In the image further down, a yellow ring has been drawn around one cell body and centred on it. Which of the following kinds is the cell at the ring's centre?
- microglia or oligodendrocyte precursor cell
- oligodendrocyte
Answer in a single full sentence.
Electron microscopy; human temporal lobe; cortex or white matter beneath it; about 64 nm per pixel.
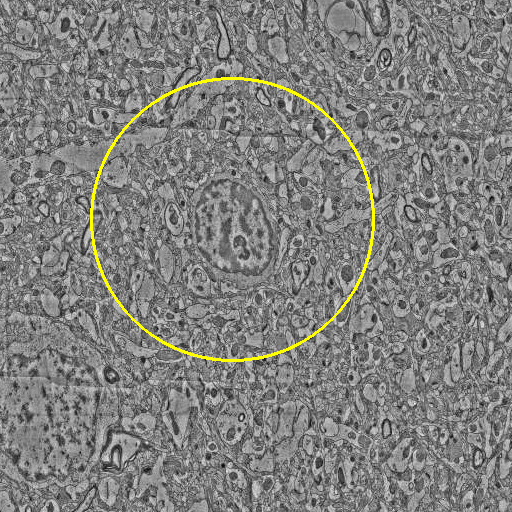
In the picture, the cell sitting at the centre of the yellow ring is an oligodendrocyte.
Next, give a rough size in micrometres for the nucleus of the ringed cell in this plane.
The ringed cell's nucleus is about 6 micrometres long and 5 micrometres wide in this plane.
